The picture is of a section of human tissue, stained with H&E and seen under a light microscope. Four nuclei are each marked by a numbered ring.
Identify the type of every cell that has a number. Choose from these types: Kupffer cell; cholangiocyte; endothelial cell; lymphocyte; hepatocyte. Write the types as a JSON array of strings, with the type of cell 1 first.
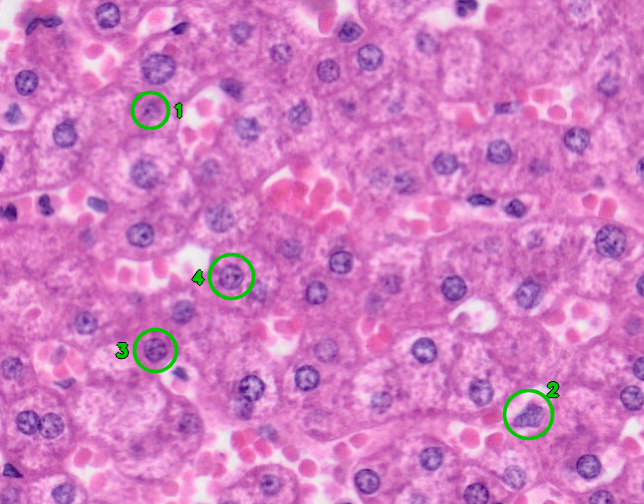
["hepatocyte", "Kupffer cell", "hepatocyte", "hepatocyte"]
